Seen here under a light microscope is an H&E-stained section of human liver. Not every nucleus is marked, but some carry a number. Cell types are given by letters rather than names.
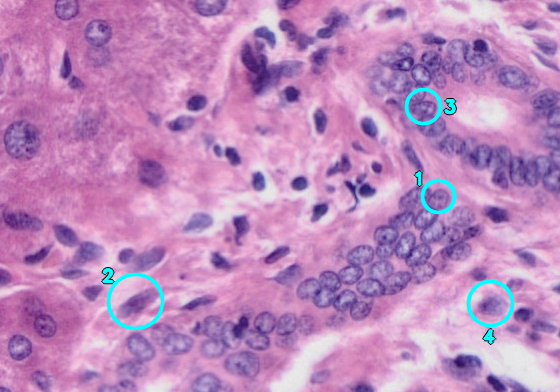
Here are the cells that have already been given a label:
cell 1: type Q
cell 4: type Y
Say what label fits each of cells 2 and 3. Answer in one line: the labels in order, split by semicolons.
type Y; type Q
